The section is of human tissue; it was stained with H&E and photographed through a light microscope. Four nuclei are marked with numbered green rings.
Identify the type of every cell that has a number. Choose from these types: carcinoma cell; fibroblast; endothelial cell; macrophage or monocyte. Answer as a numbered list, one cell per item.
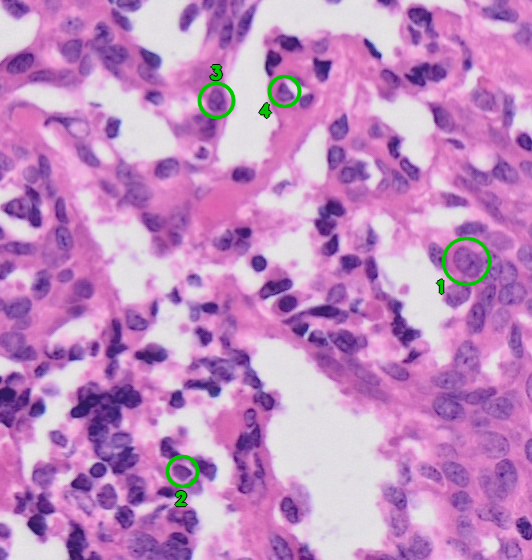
1. carcinoma cell
2. carcinoma cell
3. carcinoma cell
4. endothelial cell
